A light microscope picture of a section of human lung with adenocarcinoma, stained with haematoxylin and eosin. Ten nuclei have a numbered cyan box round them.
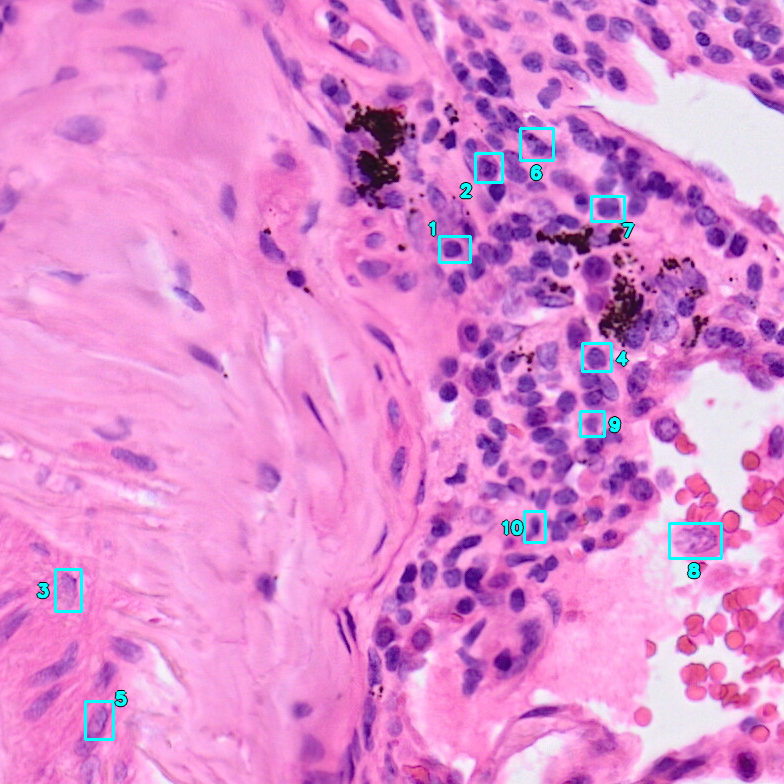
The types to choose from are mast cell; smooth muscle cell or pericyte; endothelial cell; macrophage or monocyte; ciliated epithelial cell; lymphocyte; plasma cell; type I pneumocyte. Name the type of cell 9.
lymphocyte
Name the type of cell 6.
lymphocyte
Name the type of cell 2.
plasma cell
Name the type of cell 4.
lymphocyte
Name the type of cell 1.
lymphocyte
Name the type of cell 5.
smooth muscle cell or pericyte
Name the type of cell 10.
lymphocyte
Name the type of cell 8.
macrophage or monocyte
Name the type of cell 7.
lymphocyte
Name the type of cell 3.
smooth muscle cell or pericyte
